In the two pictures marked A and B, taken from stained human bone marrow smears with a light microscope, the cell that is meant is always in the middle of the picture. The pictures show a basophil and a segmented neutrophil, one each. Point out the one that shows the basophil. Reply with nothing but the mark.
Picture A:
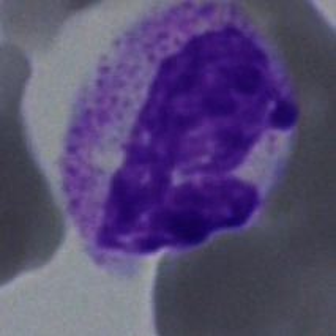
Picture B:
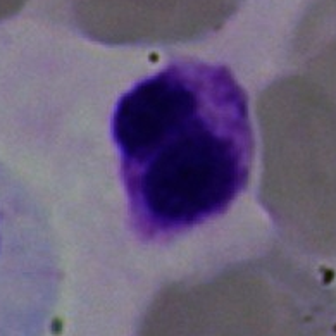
B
